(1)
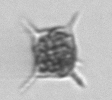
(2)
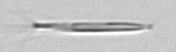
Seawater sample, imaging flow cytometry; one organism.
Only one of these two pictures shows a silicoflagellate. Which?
Picture 1.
